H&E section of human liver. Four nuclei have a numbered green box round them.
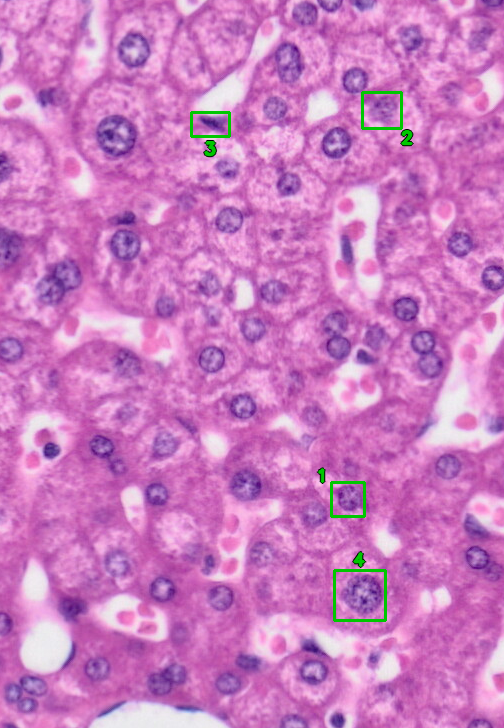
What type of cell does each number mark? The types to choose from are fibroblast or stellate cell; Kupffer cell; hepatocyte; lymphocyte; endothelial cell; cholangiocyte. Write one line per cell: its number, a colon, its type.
1: hepatocyte
2: hepatocyte
3: endothelial cell
4: hepatocyte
